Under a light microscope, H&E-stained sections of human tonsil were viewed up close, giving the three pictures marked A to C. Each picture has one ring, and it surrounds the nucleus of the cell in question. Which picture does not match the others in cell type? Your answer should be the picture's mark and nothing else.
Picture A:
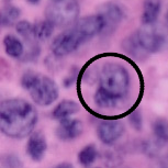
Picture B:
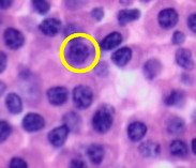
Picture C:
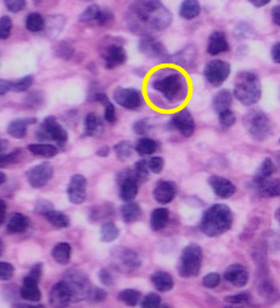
B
